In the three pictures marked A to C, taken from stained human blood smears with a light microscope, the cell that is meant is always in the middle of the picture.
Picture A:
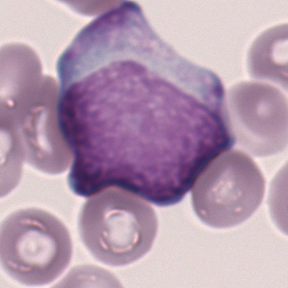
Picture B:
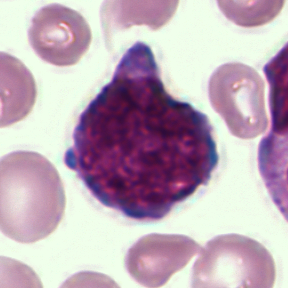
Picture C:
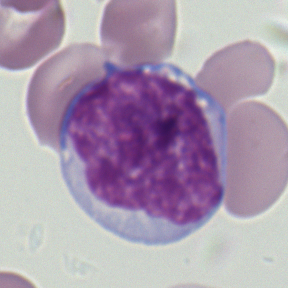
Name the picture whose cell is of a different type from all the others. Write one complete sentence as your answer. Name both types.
Picture C differs, because its cell is a myeloblast and the rest are atypical promyelocytes.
